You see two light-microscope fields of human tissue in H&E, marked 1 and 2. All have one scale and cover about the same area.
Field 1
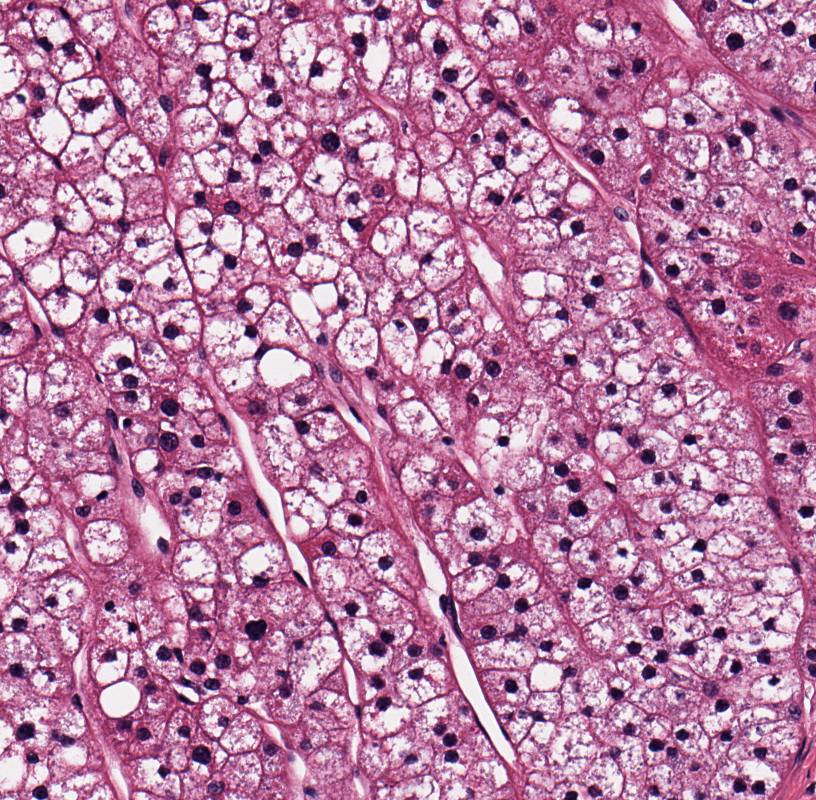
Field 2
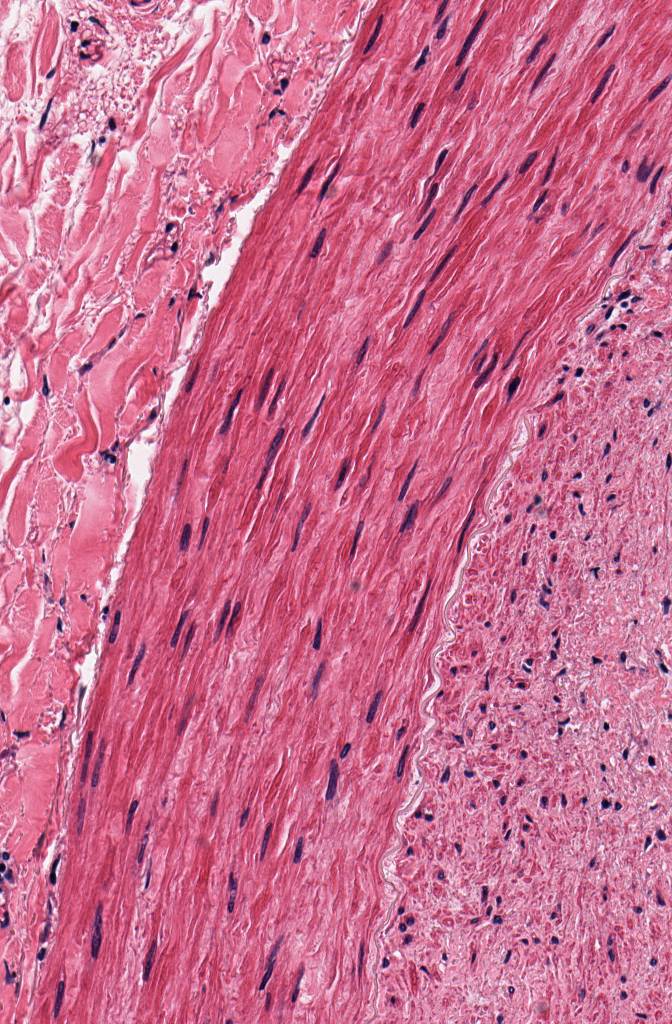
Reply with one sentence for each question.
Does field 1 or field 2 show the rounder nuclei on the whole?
It is field 1 whose nuclei are the rounder.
